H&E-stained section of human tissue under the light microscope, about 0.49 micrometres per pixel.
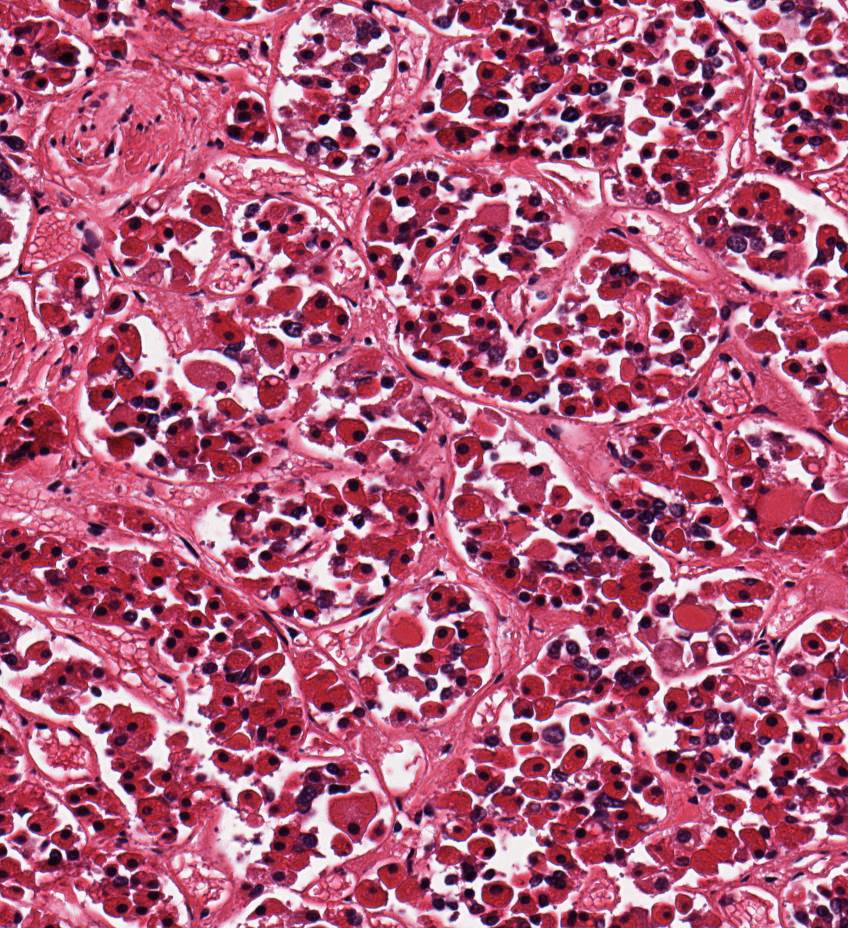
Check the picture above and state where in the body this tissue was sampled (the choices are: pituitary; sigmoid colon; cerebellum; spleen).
pituitary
